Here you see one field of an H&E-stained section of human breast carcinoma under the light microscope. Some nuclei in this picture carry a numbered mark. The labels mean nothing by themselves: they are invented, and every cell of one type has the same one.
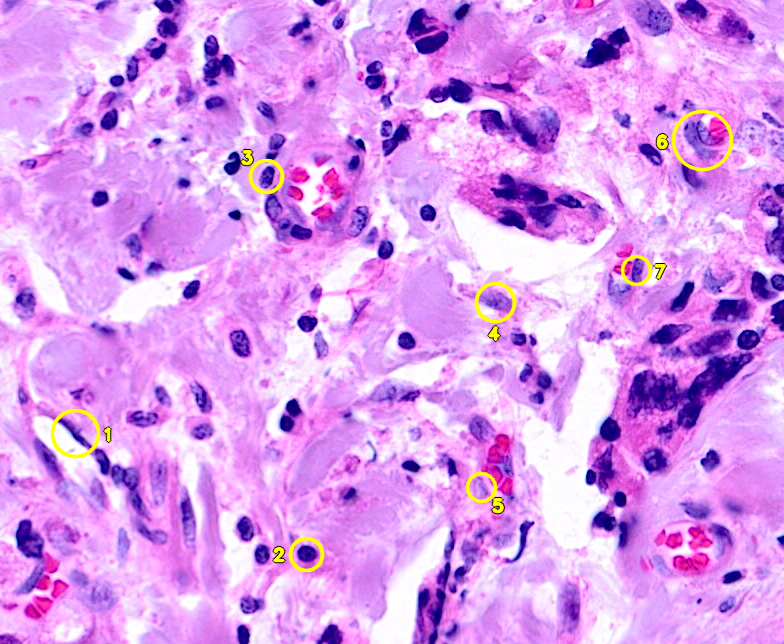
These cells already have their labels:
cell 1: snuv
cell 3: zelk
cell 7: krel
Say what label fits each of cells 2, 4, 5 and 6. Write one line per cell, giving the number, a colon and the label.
2: zelk
4: snuv
5: krel
6: krel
